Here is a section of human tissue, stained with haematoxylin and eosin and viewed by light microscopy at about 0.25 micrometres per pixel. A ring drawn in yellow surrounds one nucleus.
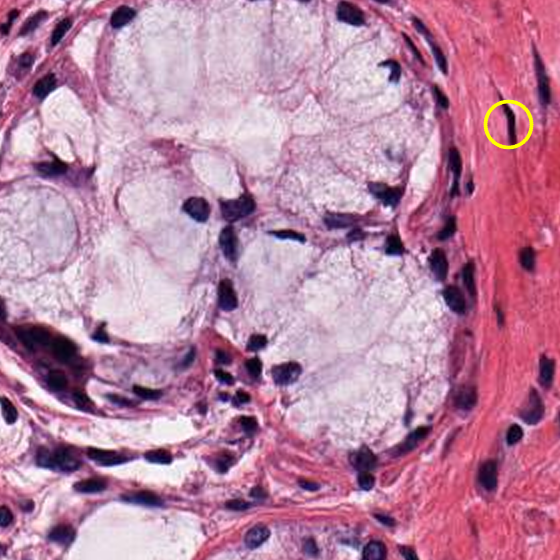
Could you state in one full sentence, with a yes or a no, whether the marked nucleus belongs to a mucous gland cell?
No, the marked nucleus, which belongs to a supporting cell, is not part of a mucous gland cell.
